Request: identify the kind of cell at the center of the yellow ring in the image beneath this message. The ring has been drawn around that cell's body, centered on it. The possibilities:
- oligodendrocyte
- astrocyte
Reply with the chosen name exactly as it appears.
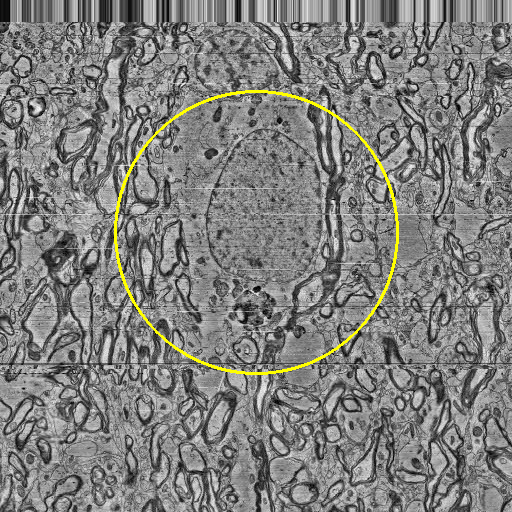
astrocyte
